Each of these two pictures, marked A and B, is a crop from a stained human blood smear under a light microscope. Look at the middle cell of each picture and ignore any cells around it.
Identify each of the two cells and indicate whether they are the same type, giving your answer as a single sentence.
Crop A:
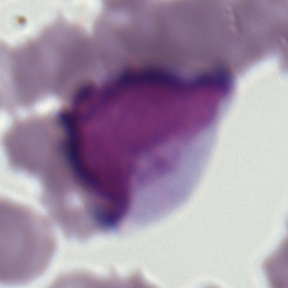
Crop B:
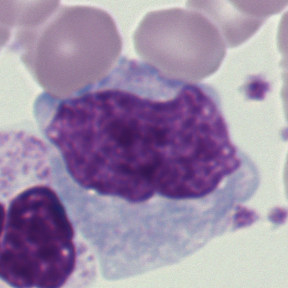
No, in this case crop A shows a blast, and crop B shows a monocyte.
